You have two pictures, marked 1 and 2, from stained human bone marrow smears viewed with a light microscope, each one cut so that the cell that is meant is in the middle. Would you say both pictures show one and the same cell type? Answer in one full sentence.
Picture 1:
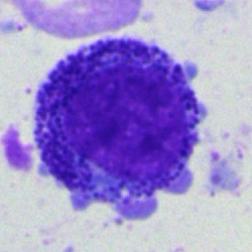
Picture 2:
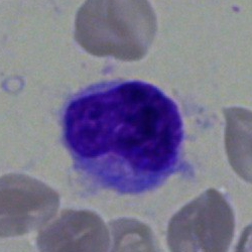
No. Picture 1 shows a promyelocyte, but picture 2 shows a hairy cell.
